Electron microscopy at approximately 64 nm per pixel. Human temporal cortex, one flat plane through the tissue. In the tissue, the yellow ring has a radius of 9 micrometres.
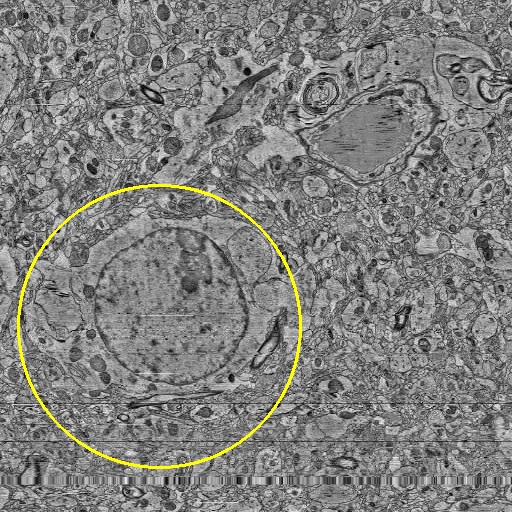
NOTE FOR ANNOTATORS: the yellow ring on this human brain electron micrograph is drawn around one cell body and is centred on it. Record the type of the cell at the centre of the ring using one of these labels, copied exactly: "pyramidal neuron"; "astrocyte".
astrocyte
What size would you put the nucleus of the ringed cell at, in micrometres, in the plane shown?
Roughly 10 micrometers across in this plane.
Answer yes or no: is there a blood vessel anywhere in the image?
Yes, there is a blood vessel in the image.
